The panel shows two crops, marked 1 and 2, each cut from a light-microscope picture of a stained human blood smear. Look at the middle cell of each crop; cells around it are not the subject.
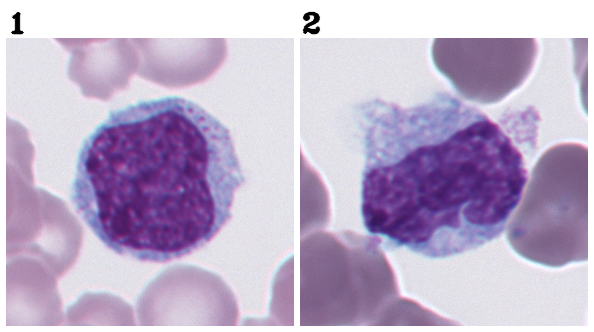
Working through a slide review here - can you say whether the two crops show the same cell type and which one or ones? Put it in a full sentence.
Yes, both crops show monocytes, to put it briefly.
